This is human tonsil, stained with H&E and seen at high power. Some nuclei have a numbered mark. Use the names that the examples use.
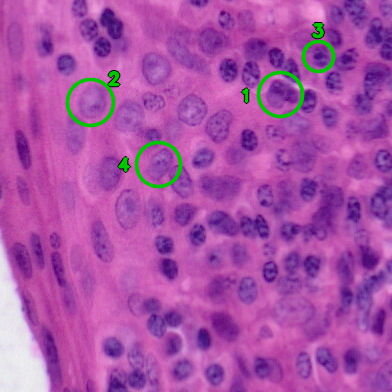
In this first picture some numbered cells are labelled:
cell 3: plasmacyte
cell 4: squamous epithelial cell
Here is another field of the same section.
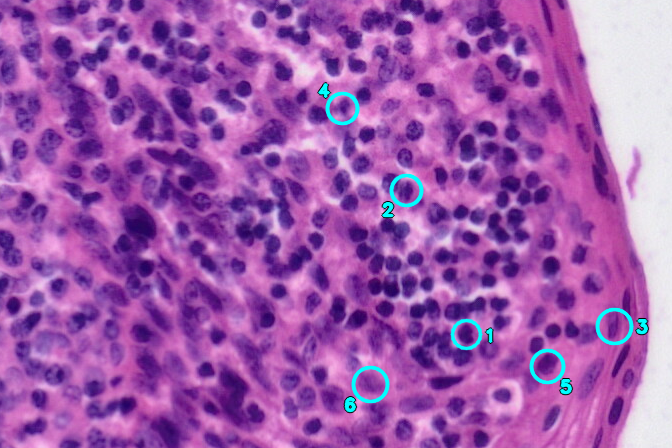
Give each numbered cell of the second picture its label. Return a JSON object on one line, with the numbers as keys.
{"1": "plasmacyte", "2": "plasmacyte", "3": "squamous epithelial cell", "4": "squamous epithelial cell", "5": "squamous epithelial cell", "6": "squamous epithelial cell"}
